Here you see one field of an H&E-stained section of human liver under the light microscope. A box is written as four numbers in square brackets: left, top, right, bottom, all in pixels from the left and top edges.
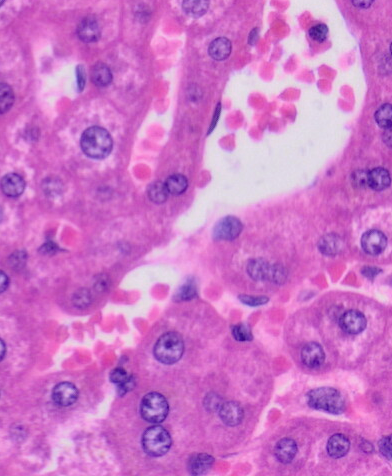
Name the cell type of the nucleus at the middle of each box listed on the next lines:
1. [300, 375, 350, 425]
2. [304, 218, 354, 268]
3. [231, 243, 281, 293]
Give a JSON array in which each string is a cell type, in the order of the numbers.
["Kupffer cell", "hepatocyte", "hepatocyte"]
